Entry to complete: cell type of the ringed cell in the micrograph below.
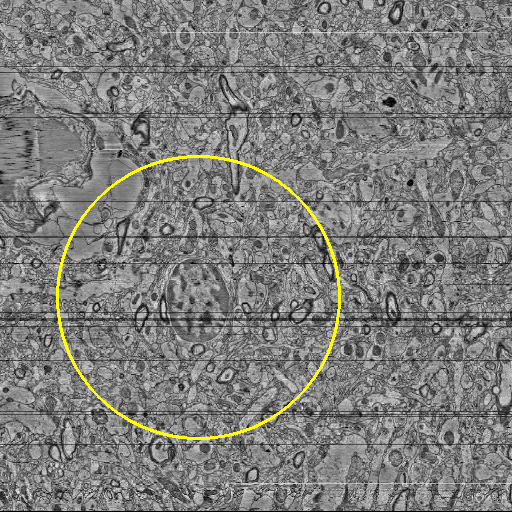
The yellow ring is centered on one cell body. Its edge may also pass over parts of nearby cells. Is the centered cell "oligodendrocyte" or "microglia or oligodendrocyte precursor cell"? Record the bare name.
microglia or oligodendrocyte precursor cell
